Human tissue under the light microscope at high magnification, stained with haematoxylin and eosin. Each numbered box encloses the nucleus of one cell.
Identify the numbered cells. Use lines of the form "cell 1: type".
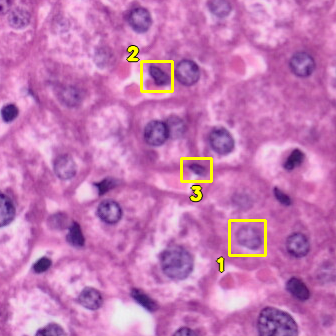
cell 1: hepatocyte
cell 2: Kupffer cell
cell 3: endothelial cell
